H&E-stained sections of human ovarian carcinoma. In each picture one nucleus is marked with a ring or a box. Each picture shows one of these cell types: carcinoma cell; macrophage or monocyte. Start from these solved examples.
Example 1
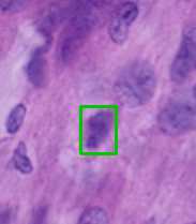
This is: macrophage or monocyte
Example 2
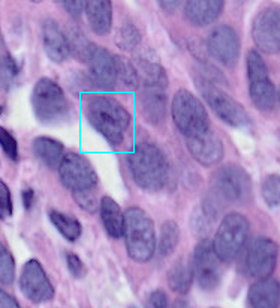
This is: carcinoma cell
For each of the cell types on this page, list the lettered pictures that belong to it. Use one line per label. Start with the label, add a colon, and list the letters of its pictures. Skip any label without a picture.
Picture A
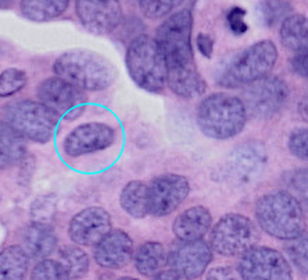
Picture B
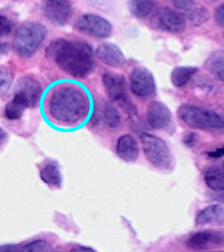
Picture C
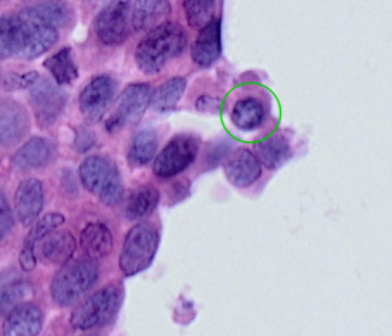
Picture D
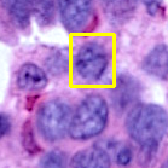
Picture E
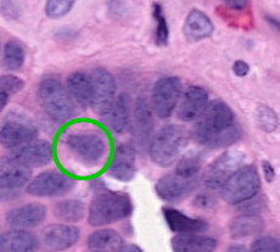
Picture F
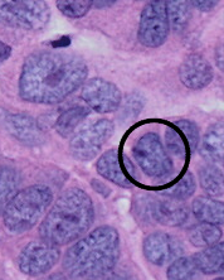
carcinoma cell: B, E, F
macrophage or monocyte: A, C, D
